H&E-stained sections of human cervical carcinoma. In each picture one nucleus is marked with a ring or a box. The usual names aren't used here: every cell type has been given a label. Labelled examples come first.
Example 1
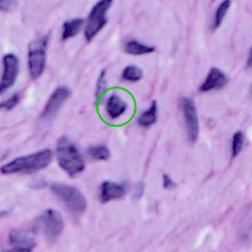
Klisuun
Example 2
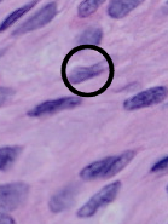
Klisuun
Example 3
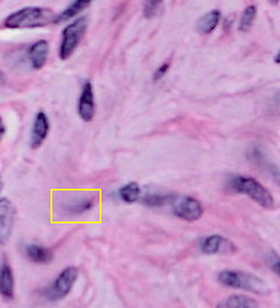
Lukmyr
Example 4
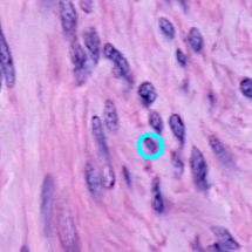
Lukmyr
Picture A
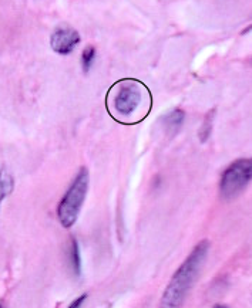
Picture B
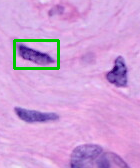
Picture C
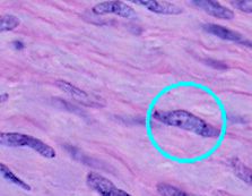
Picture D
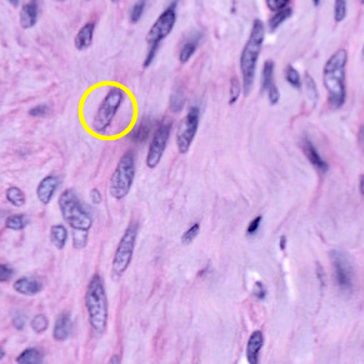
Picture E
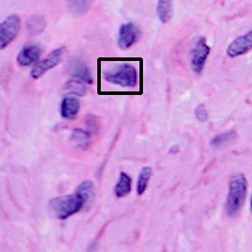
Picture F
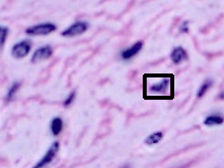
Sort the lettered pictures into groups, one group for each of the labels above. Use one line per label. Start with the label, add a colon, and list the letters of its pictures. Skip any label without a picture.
Klisuun: A, B, E
Lukmyr: C, D, F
